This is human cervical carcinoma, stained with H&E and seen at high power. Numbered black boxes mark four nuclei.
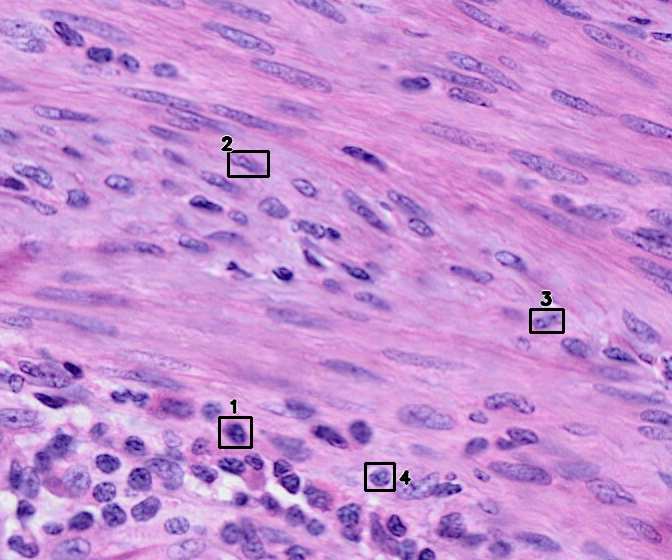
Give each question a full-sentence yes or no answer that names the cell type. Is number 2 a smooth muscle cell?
Yes, the cell indicated by number 2 is a smooth muscle cell.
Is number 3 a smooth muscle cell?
Yes, the marked cell with number 3 is a smooth muscle cell.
